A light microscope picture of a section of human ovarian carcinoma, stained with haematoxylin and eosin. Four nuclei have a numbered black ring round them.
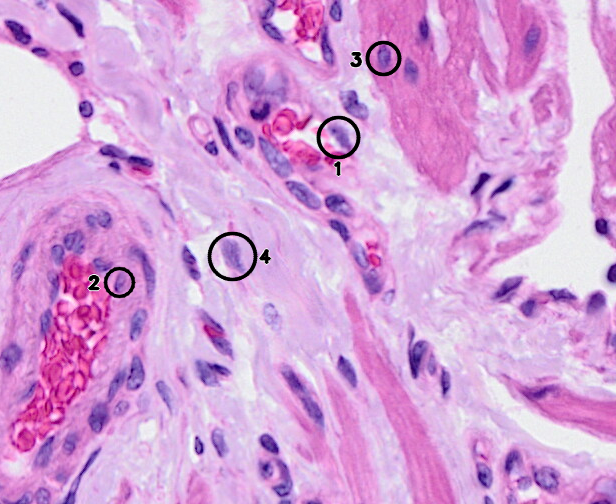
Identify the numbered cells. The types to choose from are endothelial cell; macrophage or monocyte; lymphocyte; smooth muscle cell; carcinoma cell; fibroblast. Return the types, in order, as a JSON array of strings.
["endothelial cell", "endothelial cell", "smooth muscle cell", "fibroblast"]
